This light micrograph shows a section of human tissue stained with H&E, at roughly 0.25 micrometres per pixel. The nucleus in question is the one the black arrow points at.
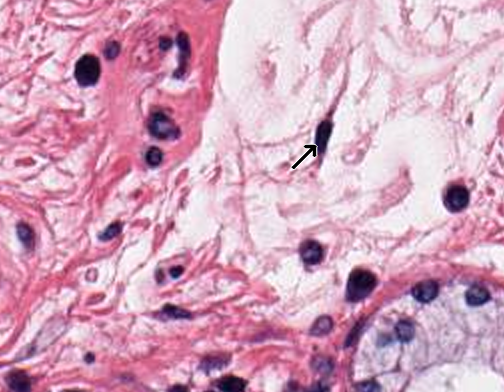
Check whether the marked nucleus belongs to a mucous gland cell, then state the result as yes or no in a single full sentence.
No, the marked nucleus is not borne by a mucous gland cell; it is borne by a supporting cell.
